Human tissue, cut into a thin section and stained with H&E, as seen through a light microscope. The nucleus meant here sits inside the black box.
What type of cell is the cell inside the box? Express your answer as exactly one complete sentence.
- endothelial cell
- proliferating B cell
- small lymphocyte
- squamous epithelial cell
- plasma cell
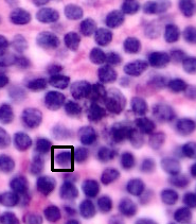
Within the stained tissue, the cell inside the box is a small lymphocyte.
